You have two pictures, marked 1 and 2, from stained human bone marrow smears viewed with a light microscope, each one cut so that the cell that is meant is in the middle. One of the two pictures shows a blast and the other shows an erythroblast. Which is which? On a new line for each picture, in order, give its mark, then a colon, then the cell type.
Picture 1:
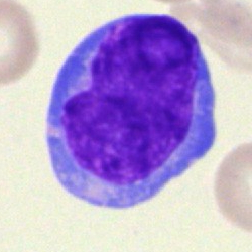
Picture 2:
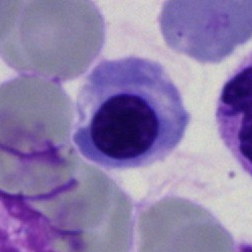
1: blast
2: erythroblast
